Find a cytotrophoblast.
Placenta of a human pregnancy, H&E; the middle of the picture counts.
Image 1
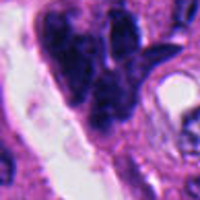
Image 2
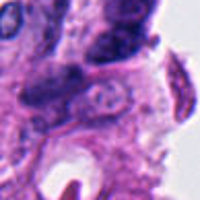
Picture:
2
